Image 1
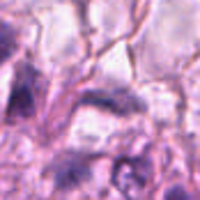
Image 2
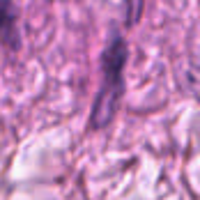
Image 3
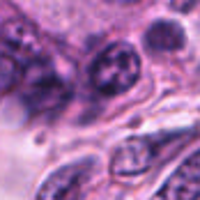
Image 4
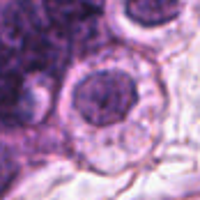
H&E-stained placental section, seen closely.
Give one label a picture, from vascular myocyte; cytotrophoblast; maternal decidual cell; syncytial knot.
(1) vascular myocyte
(2) vascular myocyte
(3) syncytial knot
(4) cytotrophoblast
